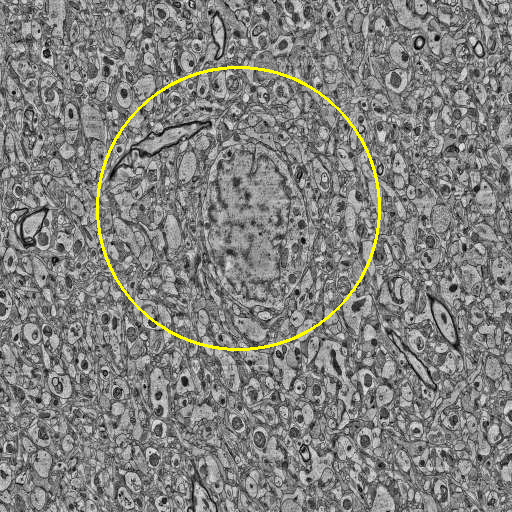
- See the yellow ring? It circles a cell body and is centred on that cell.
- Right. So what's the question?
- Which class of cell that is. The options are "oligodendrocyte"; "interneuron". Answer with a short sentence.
The centre of the ring holds an interneuron.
